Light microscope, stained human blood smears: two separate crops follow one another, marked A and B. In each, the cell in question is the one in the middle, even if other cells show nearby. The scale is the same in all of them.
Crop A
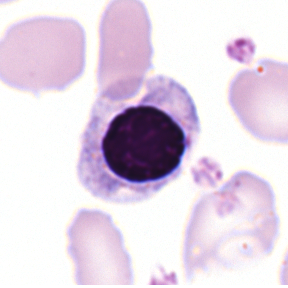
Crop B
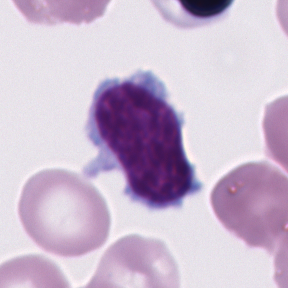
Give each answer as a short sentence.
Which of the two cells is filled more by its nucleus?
In crop B the nucleus takes up the larger part of its cell.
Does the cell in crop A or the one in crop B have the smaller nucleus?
Crop A shows the smaller nucleus, since that in crop B covers about 1.5 times as much area.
